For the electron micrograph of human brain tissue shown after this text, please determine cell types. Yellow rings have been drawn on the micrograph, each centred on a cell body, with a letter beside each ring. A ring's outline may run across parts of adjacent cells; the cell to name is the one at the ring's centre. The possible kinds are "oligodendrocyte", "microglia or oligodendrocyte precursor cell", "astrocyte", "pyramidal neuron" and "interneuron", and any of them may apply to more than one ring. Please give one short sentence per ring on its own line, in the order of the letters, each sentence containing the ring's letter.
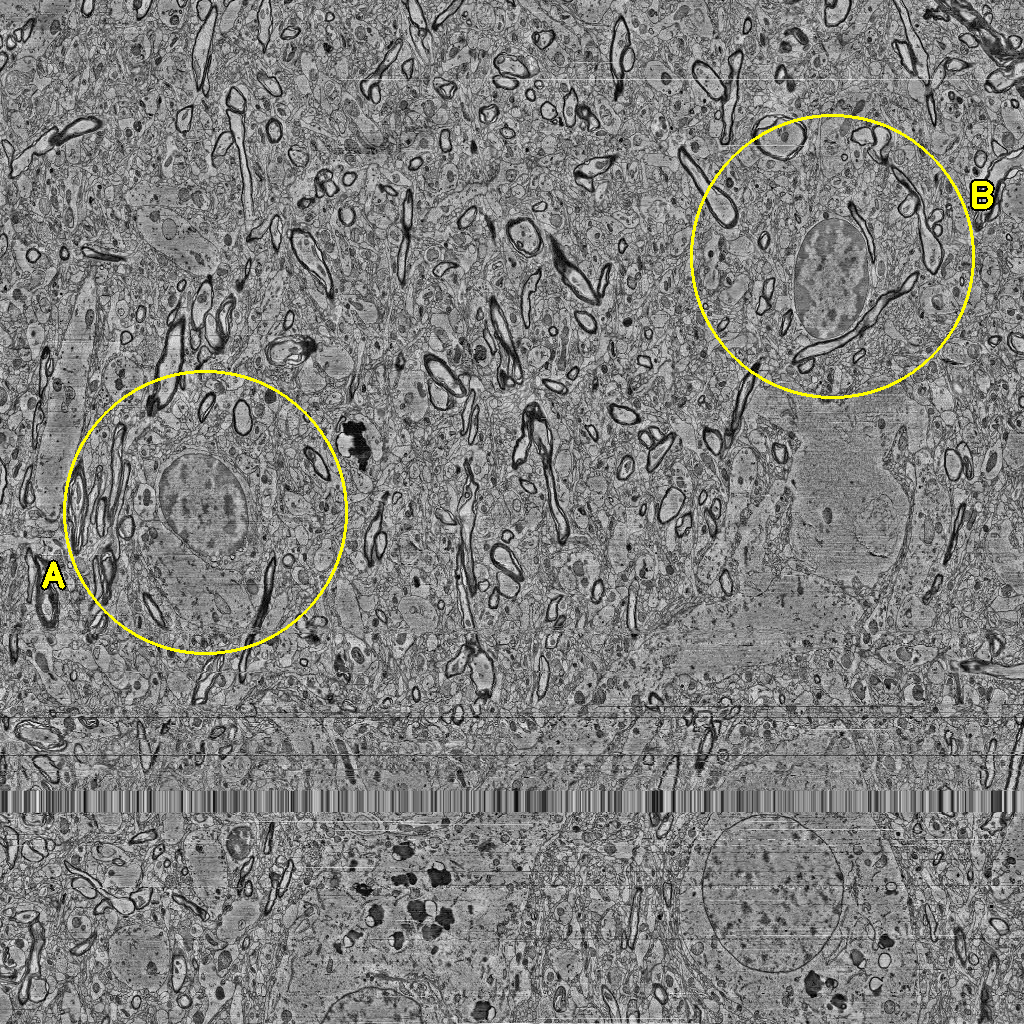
Ring A is set around an oligodendrocyte.
Ring B is set around a microglial cell or oligodendrocyte precursor cell.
